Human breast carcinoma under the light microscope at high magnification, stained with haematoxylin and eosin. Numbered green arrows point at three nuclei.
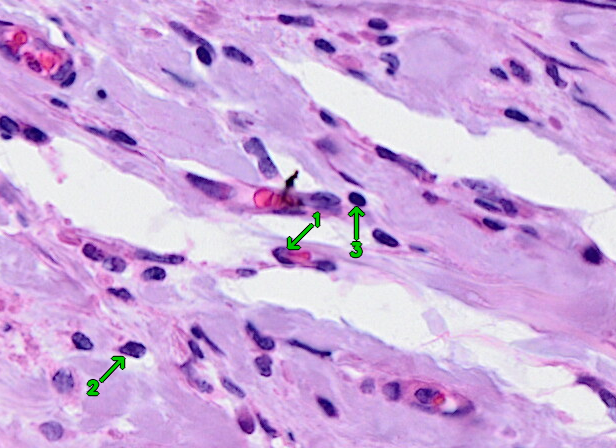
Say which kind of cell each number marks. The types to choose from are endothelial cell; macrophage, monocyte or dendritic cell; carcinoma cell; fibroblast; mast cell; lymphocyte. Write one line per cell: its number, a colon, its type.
1: endothelial cell
2: lymphocyte
3: lymphocyte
